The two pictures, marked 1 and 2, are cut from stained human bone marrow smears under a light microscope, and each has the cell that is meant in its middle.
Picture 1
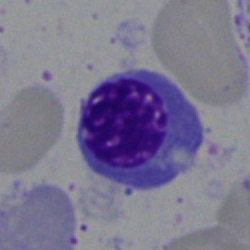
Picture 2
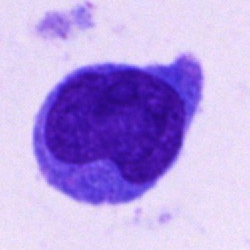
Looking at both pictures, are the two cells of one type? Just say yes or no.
no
